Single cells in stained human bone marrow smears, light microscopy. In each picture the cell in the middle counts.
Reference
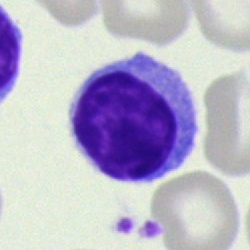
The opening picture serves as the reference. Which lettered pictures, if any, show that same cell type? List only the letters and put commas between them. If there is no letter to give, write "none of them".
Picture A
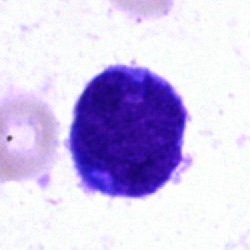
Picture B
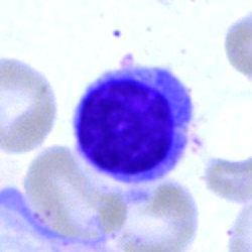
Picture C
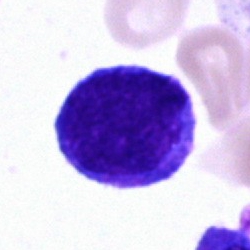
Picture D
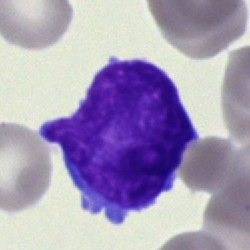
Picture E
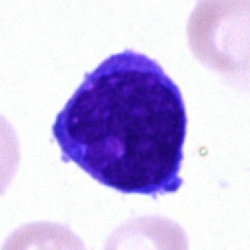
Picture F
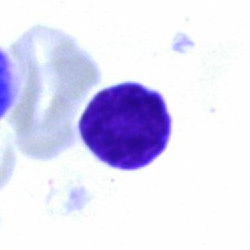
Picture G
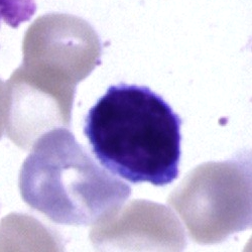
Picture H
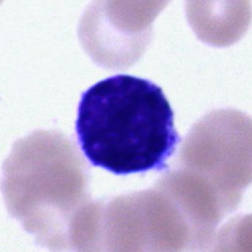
B, F, G, H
